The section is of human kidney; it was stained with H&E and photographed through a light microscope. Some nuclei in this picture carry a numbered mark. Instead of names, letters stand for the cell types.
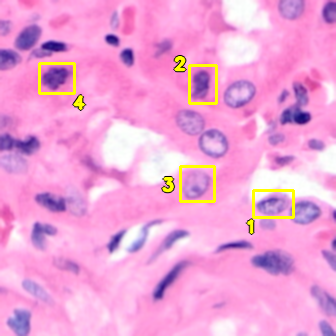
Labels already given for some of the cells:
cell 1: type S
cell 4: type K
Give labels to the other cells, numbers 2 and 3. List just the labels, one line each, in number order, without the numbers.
type K
type K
